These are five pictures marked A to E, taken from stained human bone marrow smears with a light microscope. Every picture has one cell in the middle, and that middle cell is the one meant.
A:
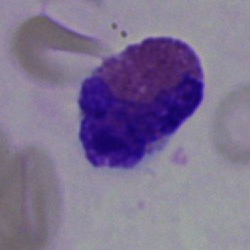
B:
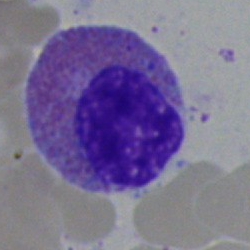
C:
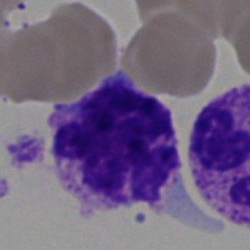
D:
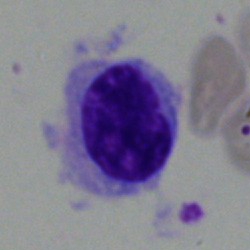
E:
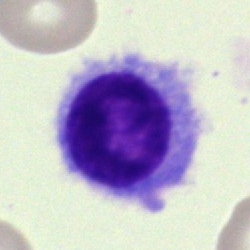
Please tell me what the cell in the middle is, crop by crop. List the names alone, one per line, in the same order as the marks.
eosinophil
eosinophil
basophil
hairy cell
hairy cell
